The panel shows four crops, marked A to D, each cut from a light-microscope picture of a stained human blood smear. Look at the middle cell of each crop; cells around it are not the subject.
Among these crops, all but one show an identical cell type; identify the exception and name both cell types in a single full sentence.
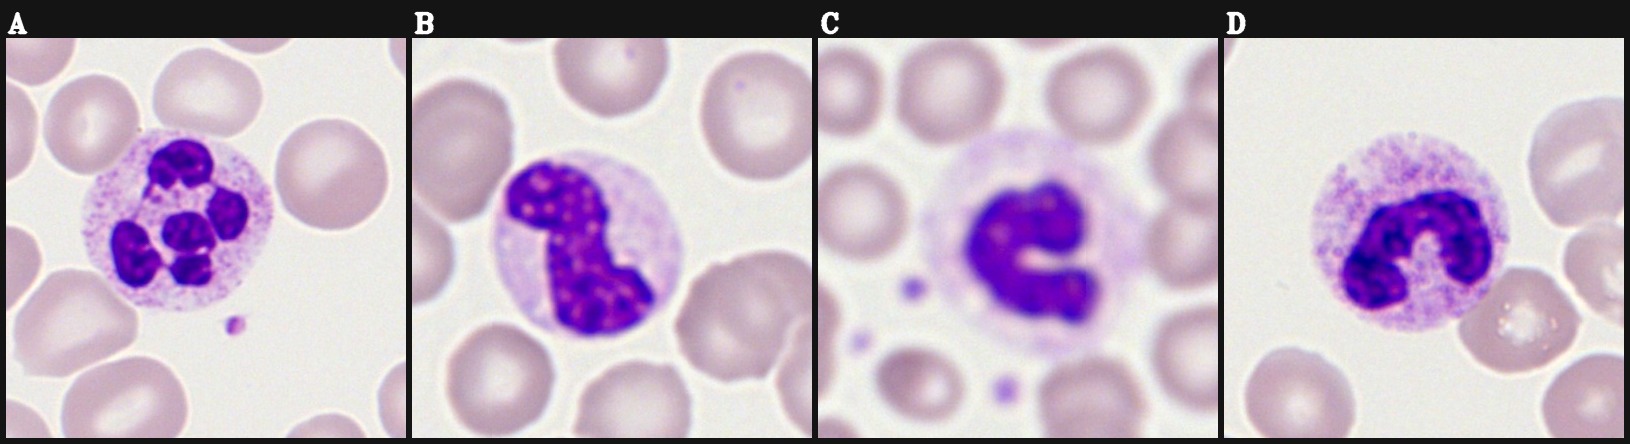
Crop A does not fit, being a segmented neutrophil where all the others show band neutrophils.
